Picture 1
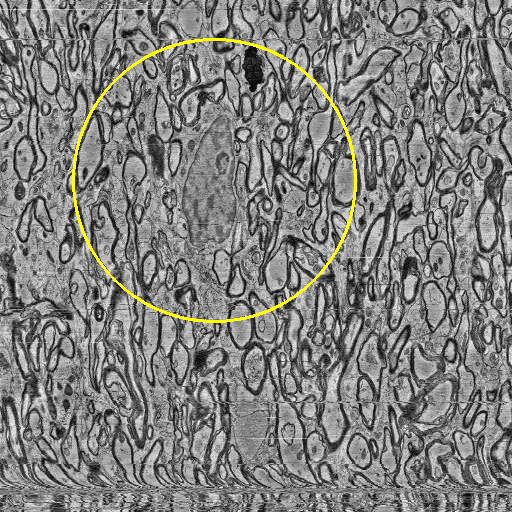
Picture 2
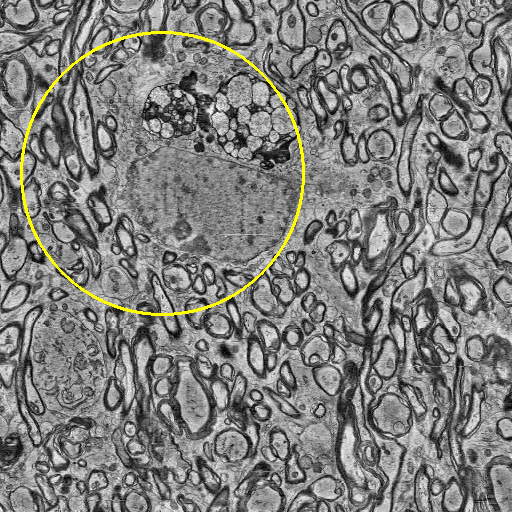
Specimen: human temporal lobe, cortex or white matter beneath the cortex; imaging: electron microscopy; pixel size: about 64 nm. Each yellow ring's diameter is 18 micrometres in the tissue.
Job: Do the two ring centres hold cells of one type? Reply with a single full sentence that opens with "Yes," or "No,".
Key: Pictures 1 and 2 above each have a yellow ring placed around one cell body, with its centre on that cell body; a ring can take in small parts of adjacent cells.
No, the cells at the two ring centres are of two separate types.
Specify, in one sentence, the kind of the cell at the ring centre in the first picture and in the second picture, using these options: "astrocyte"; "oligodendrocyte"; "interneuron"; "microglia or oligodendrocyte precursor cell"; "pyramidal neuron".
So the first is an oligodendrocyte, the second an astrocyte.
